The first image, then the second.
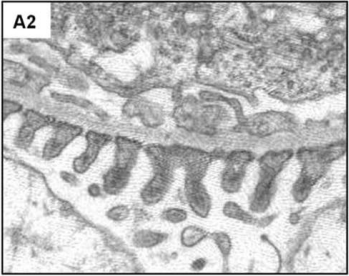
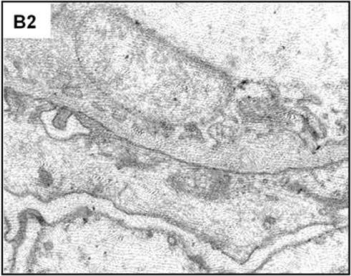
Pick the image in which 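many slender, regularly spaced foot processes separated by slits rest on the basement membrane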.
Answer: The first image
